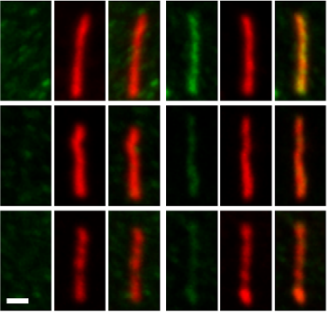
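In some columns a green signal runs along the same rod and overlaps the red, which gives a yellow-orange merge. In other columns the green along the cilium is faint or absent.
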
